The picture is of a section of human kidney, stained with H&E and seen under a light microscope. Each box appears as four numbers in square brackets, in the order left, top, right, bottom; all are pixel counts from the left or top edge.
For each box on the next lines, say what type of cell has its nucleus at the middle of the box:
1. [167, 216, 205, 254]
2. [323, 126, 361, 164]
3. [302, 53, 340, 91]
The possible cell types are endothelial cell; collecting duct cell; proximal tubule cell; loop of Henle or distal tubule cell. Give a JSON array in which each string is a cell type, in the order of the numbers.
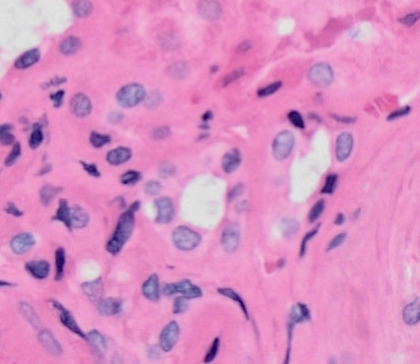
["collecting duct cell", "collecting duct cell", "proximal tubule cell"]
